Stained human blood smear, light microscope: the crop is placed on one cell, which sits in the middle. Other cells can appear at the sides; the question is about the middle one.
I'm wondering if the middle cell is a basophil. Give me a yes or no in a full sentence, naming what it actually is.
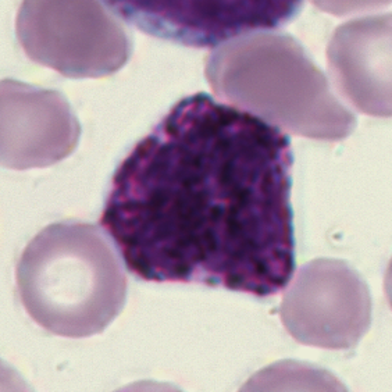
Yes, the cell of interest in the centre is a basophil.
